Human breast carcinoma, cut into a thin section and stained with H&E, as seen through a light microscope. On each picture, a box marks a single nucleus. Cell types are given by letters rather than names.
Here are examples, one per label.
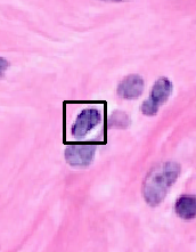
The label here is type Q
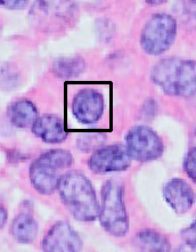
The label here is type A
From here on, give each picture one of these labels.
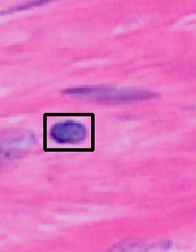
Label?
type Q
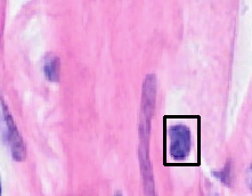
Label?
type Q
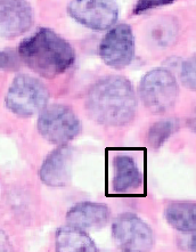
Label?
type A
